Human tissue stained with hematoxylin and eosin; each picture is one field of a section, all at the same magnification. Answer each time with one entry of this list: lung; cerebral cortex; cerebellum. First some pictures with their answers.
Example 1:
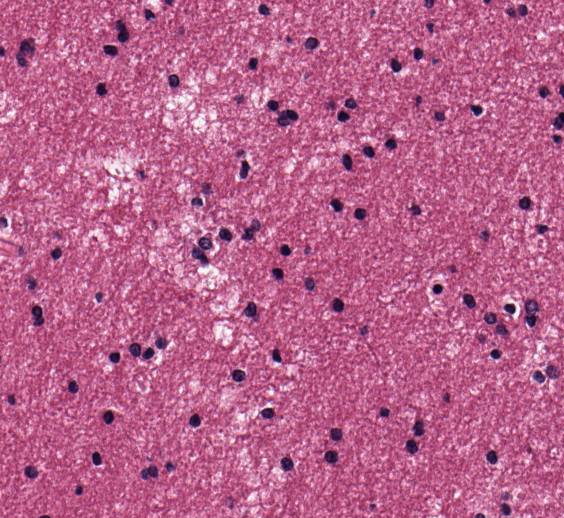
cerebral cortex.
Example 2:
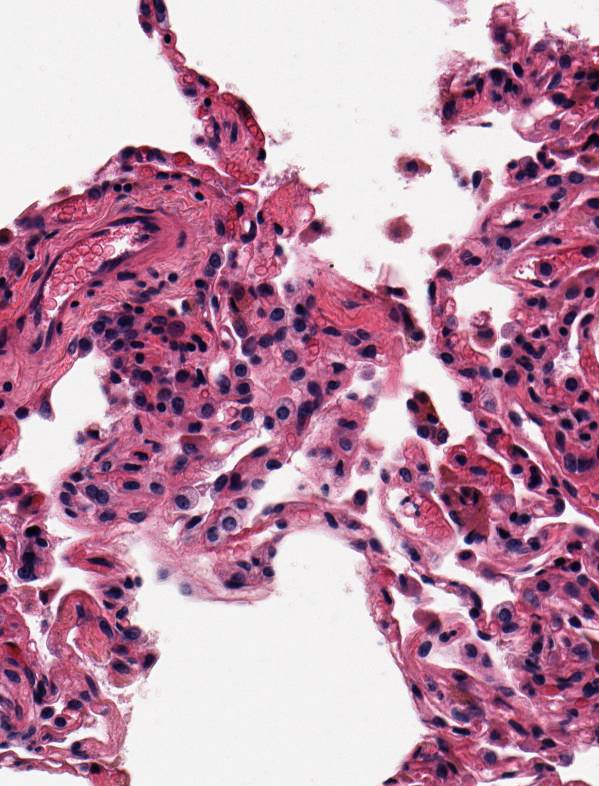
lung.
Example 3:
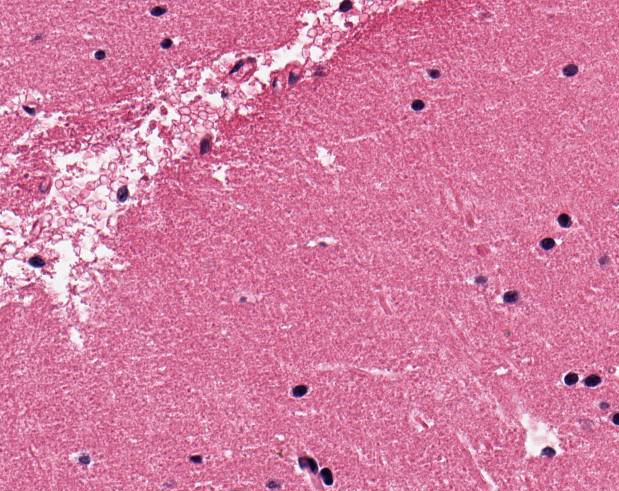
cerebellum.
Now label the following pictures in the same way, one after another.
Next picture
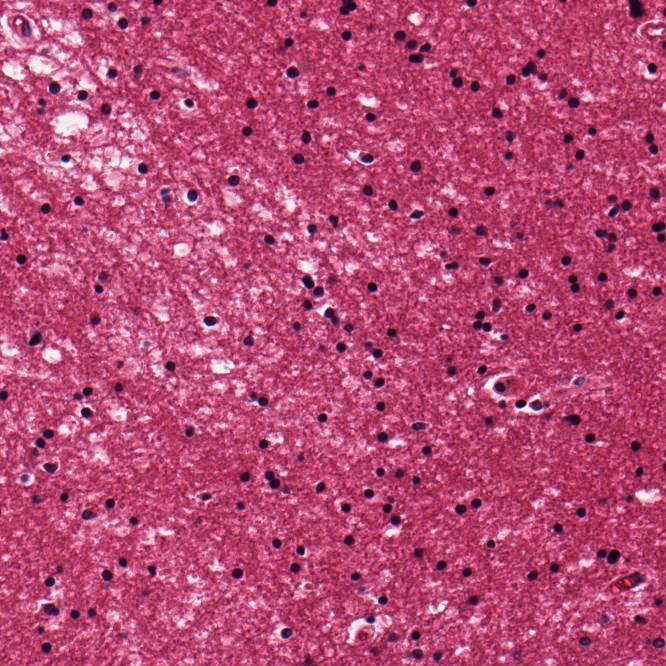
cerebral cortex.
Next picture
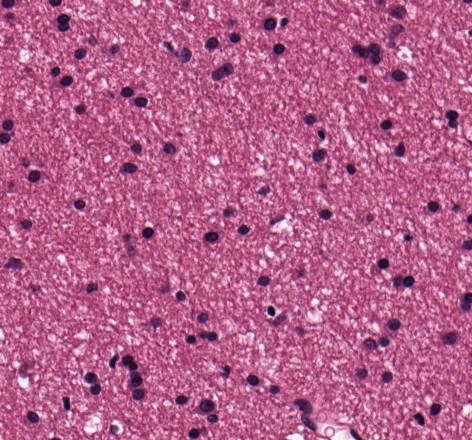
cerebral cortex.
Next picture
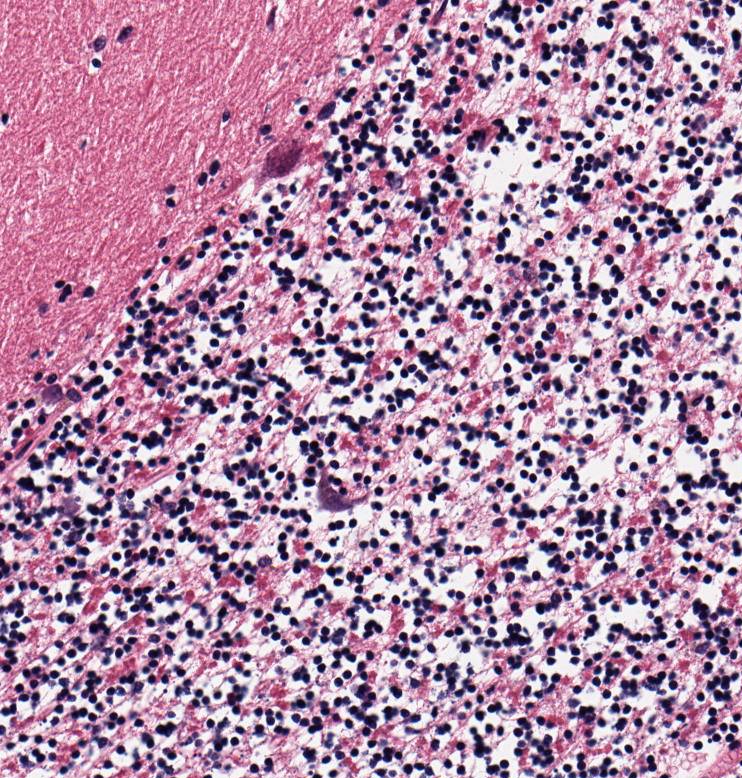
cerebellum.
